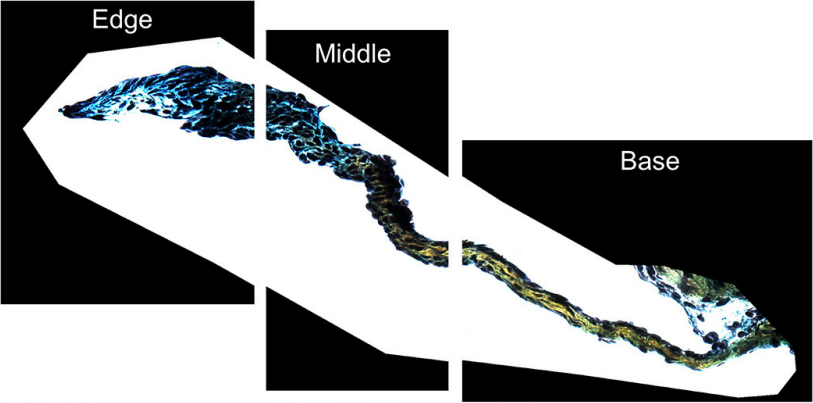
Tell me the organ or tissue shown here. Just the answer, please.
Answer: Leaflet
